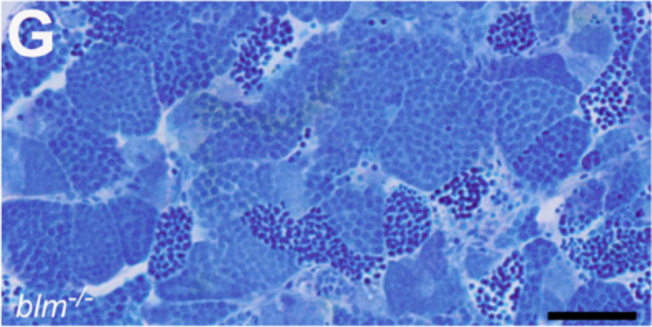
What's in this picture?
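Testis section made up almost entirely of cysts of rounded germ cells with few spermatozoa. Cysts of pale to mid blue cells with round nuclei are packed side by side, separated by thin pale strands. Only small scattered groups of dark purple dot-like cells appear among them. No broad dense masses of packed tiny cells fill the spaces between cysts.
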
